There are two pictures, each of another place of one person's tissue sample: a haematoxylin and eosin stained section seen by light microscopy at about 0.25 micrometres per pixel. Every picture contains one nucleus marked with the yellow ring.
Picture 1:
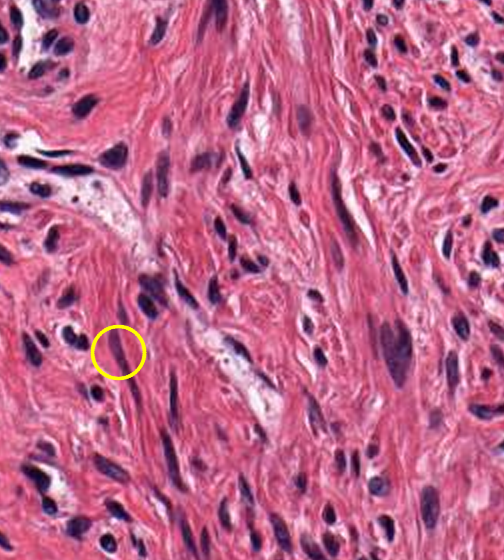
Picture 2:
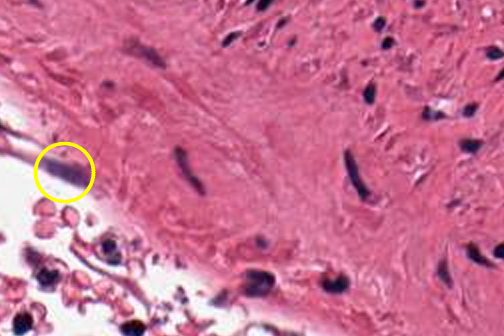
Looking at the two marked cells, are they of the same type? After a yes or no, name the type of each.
No, the first is a smooth muscle cell and the second an endothelial cell.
